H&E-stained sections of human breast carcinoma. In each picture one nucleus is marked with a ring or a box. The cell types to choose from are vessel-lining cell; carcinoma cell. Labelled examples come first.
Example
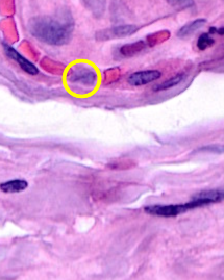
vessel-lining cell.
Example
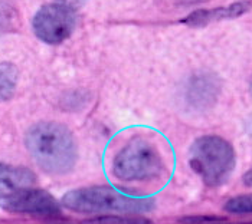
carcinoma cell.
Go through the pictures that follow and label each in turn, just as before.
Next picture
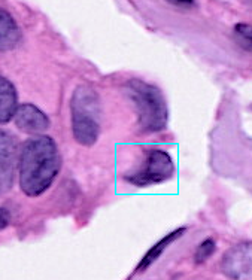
carcinoma cell.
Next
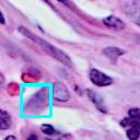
vessel-lining cell.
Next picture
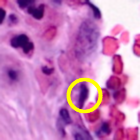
vessel-lining cell.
